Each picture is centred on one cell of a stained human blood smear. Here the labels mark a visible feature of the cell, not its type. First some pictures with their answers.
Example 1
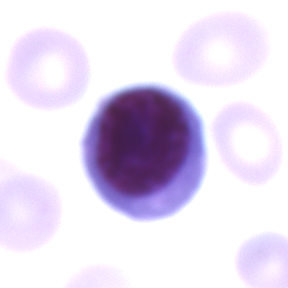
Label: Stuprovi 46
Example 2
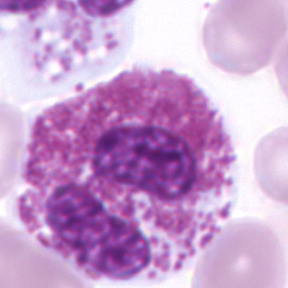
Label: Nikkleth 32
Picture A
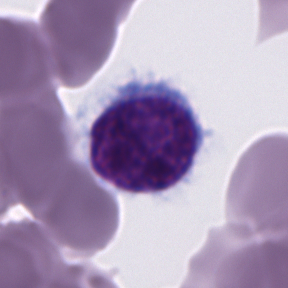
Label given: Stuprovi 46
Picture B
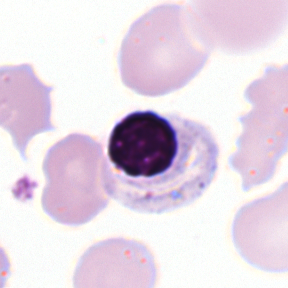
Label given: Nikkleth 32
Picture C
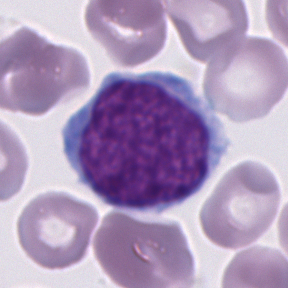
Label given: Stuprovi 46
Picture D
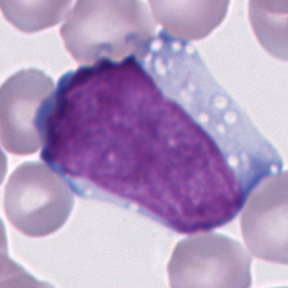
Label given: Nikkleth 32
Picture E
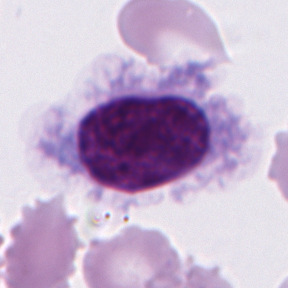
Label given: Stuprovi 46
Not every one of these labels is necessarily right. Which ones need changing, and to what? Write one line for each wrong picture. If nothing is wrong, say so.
E should be Nikkleth 32, not Stuprovi 46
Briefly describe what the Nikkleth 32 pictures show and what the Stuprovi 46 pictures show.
Nikkleth 32: abundant cytoplasm; Stuprovi 46: scant cytoplasm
